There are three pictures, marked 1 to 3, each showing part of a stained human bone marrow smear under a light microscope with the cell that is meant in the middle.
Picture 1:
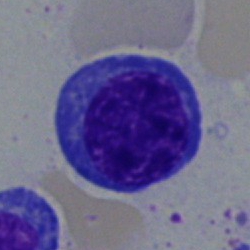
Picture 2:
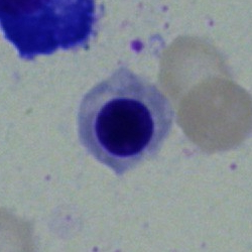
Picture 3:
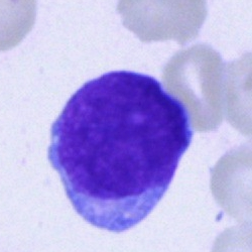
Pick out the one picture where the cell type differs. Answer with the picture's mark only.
3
